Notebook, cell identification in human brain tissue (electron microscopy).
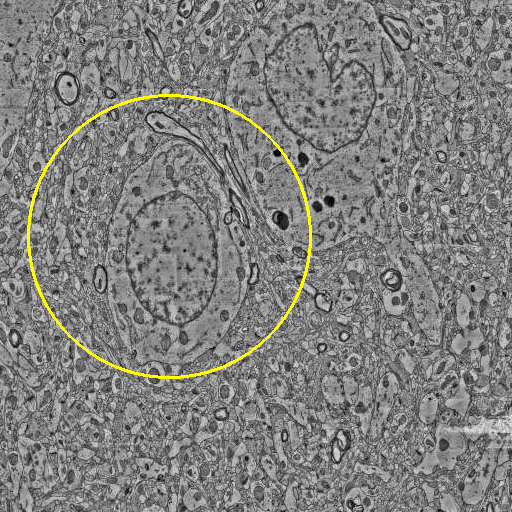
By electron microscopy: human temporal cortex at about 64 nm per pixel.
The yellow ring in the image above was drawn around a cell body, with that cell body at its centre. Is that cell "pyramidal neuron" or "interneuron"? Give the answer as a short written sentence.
The cell in the ring is a pyramidal neuron.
